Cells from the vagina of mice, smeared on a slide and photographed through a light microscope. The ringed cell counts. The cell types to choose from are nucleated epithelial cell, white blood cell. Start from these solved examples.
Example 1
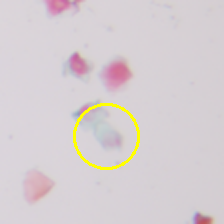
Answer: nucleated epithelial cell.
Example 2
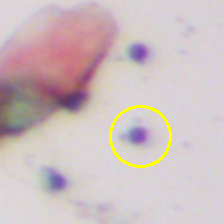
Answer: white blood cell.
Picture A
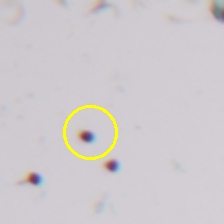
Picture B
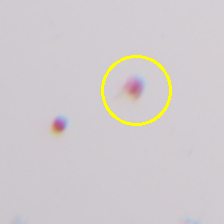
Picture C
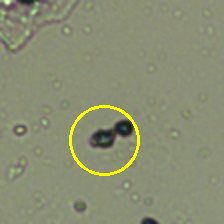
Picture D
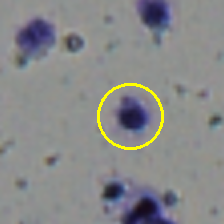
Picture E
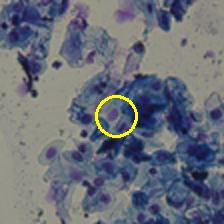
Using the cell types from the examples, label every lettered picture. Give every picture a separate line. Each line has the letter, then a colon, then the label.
A: white blood cell.
B: white blood cell.
C: white blood cell.
D: white blood cell.
E: nucleated epithelial cell.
